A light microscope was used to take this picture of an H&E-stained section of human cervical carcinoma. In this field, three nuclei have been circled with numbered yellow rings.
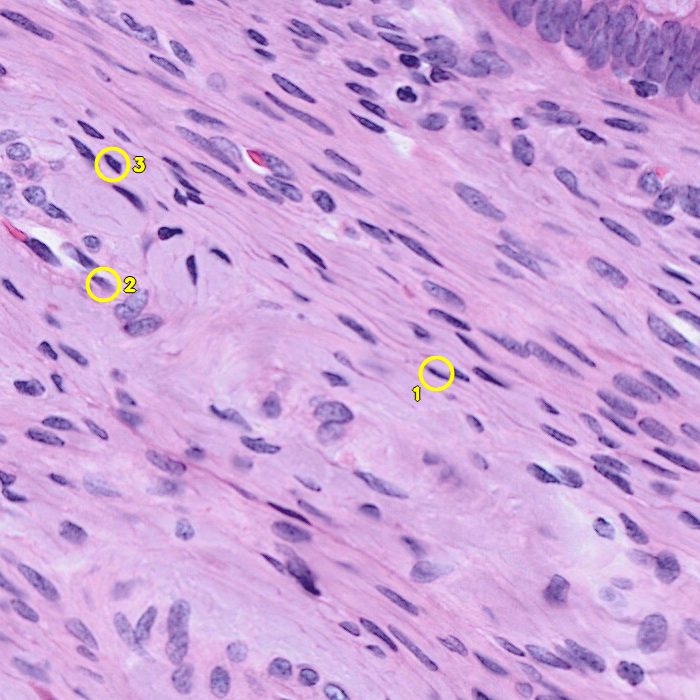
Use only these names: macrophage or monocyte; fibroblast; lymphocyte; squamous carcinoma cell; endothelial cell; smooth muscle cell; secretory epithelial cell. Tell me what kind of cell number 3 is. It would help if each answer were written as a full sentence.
The cell given label 3 is a fibroblast.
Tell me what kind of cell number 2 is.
The nucleus labelled 2 belongs to an endothelial cell.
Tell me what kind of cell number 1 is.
Cell 1 of the marked set is a fibroblast.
